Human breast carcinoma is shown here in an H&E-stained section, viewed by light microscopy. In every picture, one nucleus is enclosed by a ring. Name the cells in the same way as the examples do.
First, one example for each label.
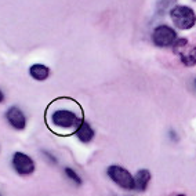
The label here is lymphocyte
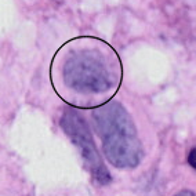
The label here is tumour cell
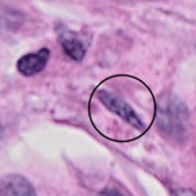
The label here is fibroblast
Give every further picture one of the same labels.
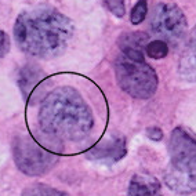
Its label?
tumour cell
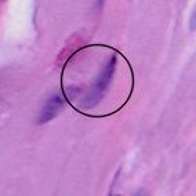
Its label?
fibroblast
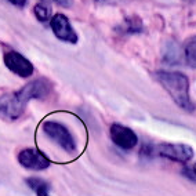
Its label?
lymphocyte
